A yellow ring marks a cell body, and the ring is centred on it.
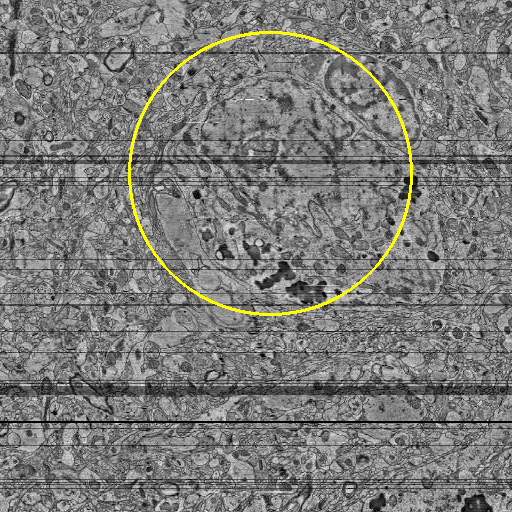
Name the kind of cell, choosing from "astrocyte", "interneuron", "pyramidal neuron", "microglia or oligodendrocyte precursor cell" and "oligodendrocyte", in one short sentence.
The marked cell body belongs to an interneuron.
